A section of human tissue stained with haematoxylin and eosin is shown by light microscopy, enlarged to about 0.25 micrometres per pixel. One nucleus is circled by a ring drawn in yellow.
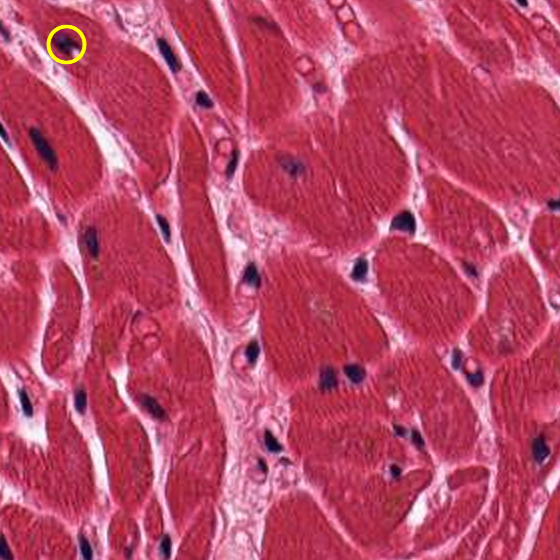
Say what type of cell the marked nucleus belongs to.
cardiomyocyte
